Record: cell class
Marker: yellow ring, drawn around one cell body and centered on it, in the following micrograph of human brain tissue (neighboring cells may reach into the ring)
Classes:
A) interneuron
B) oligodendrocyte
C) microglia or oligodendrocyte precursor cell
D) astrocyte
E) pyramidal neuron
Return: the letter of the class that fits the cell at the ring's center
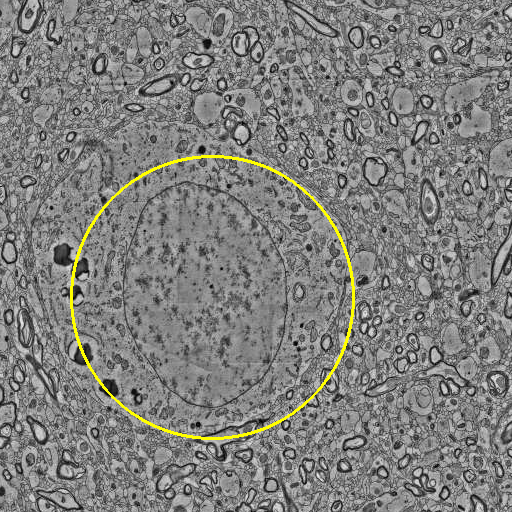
E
